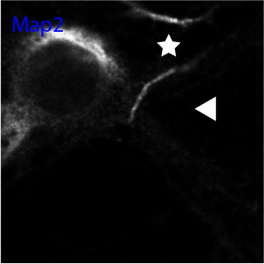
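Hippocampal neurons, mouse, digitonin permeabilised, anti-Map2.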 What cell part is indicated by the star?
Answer: Dendrites.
